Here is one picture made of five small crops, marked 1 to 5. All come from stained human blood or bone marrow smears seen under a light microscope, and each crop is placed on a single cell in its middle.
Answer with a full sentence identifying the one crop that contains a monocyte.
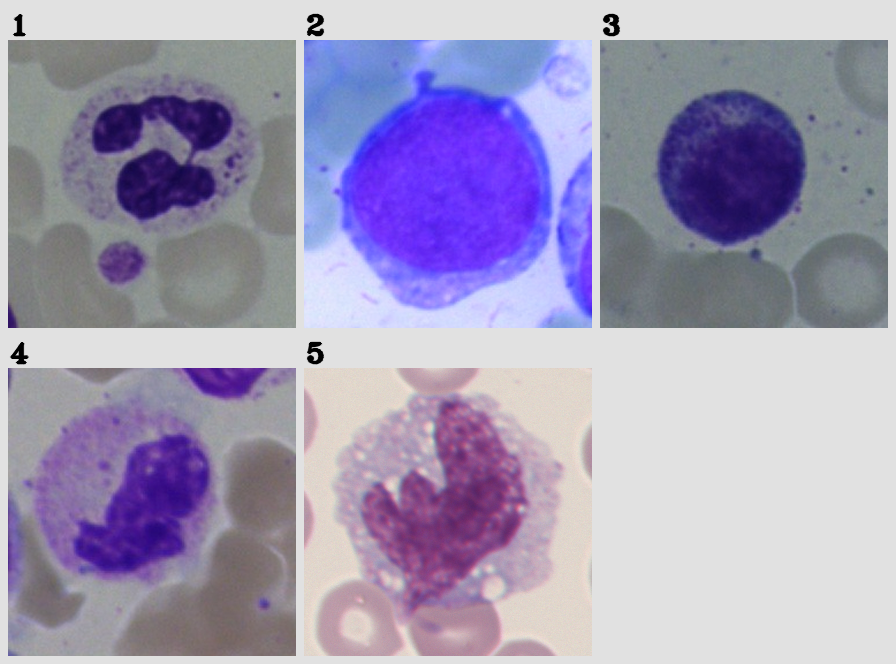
The crop marked 5 is the one that shows a monocyte.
